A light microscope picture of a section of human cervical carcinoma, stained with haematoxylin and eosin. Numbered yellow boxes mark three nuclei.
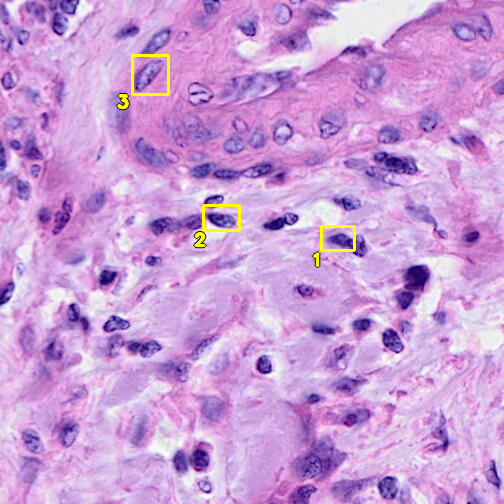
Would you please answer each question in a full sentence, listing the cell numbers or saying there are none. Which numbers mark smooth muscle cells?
The cell marked by number 3 is a smooth muscle cell; the other marked cells are not.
